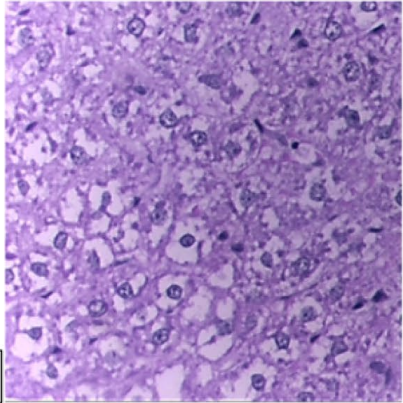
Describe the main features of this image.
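This is liver tissue in which the hepatocytes show pronounced degenerative changes. Most of the polygonal cells have pale, clear, vacuolated cytoplasm, with round nuclei sitting among empty-looking spaces, so the tissue looks foamy and the regular arrangement into plates is hard to make out.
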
